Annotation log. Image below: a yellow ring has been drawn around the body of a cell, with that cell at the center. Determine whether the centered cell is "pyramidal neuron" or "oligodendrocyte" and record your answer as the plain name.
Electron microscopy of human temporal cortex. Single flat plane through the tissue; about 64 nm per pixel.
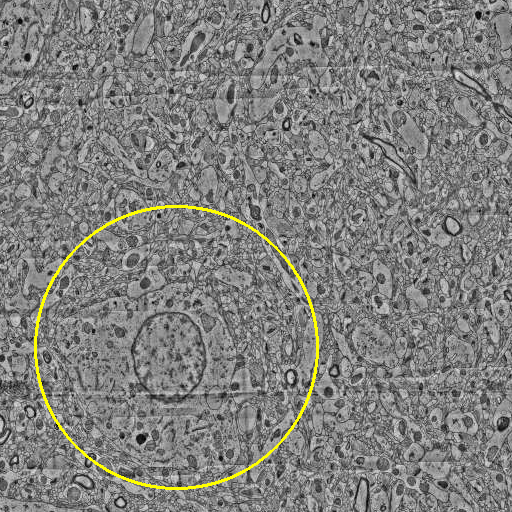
pyramidal neuron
